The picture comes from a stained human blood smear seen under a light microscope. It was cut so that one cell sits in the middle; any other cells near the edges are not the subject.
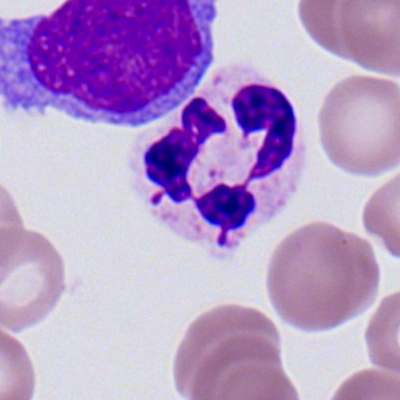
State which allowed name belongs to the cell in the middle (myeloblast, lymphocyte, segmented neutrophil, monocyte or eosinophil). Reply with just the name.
segmented neutrophil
